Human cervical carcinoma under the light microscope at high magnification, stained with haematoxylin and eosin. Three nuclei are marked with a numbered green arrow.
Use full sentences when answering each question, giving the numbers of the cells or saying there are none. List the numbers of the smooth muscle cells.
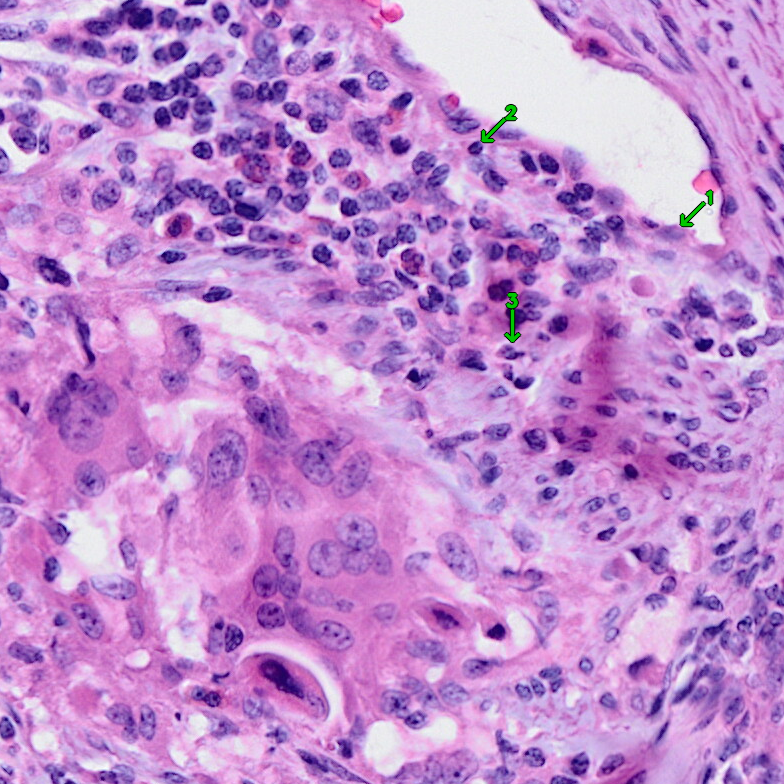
The count of smooth muscle cells among the numbered cells is zero.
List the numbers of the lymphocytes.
Cells numbered 2 and 3 belong to the group of lymphocytes.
